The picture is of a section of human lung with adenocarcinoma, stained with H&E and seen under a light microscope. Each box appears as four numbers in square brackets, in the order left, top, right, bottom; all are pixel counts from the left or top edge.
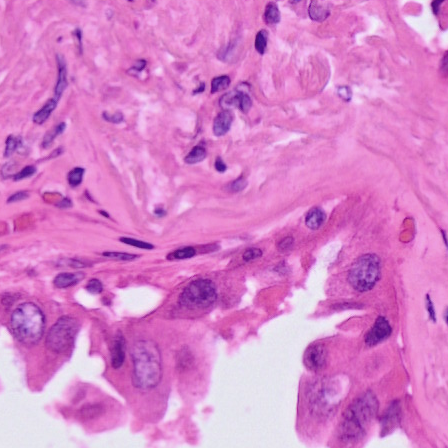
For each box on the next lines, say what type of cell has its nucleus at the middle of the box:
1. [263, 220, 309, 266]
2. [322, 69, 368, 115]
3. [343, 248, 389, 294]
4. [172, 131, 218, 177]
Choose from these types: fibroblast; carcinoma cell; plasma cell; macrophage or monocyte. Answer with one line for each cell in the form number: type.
1: macrophage or monocyte
2: fibroblast
3: carcinoma cell
4: plasma cell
